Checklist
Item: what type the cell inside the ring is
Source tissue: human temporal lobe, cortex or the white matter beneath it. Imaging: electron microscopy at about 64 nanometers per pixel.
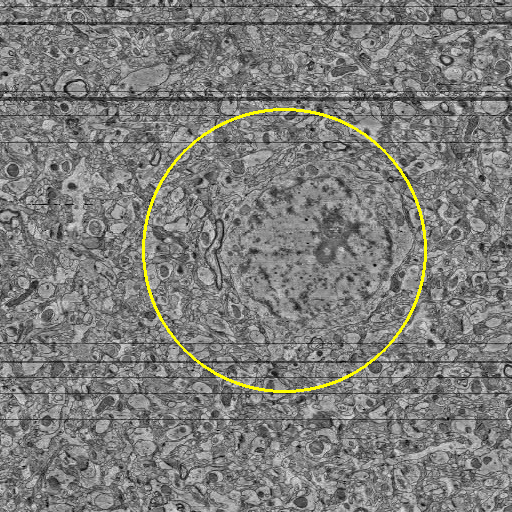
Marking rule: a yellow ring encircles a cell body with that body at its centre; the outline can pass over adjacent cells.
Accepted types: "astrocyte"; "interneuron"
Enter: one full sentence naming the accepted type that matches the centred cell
The entry is that an interneuron lies at the centre of the yellow ring.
